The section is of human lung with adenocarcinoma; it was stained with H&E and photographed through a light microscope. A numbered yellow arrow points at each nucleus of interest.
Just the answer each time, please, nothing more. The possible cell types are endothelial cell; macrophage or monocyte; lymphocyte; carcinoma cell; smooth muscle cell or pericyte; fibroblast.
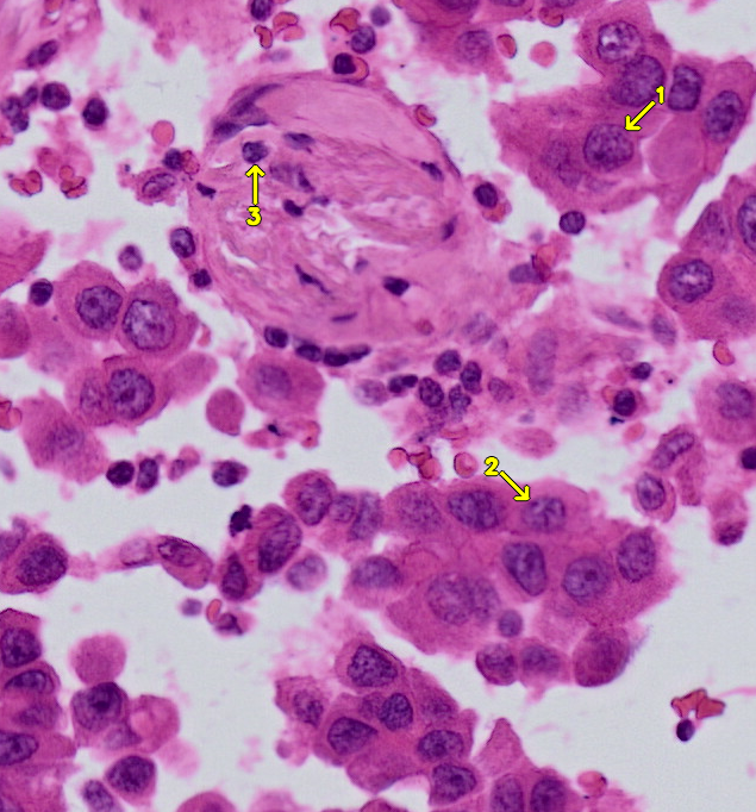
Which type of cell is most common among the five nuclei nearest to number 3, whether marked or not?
fibroblast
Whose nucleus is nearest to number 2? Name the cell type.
carcinoma cell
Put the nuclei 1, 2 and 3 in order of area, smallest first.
3, 2, 1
